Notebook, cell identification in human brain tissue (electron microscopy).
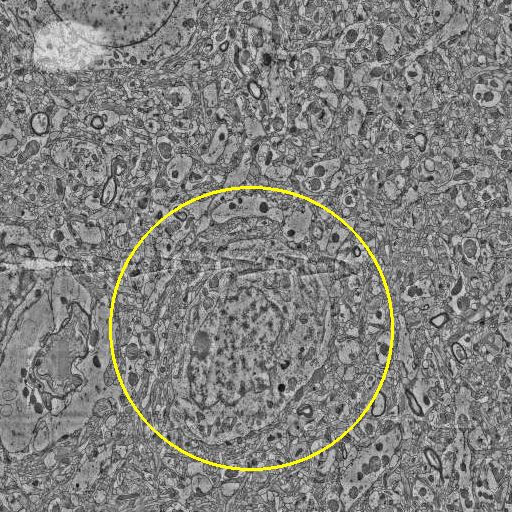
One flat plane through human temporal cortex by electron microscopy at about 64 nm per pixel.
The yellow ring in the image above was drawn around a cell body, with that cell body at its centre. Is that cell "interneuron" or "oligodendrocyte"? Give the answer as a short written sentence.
The cell in the ring is an interneuron.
